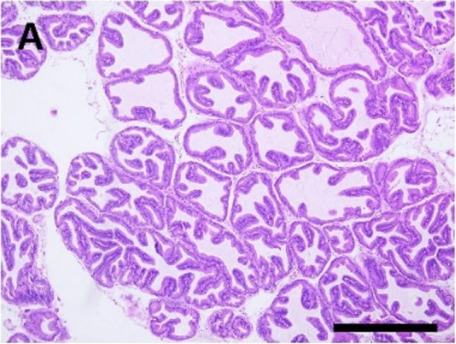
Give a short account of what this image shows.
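This prostate tissue consists of many closely packed glands separated by thin strands of pale stroma. Each gland is lined by a single layer of epithelium with purple nuclei that forms papillary folds projecting into the lumen. The lumens are wide and contain pale pink, finely textured material. The stroma between glands is sparse and contains few nuclei.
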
